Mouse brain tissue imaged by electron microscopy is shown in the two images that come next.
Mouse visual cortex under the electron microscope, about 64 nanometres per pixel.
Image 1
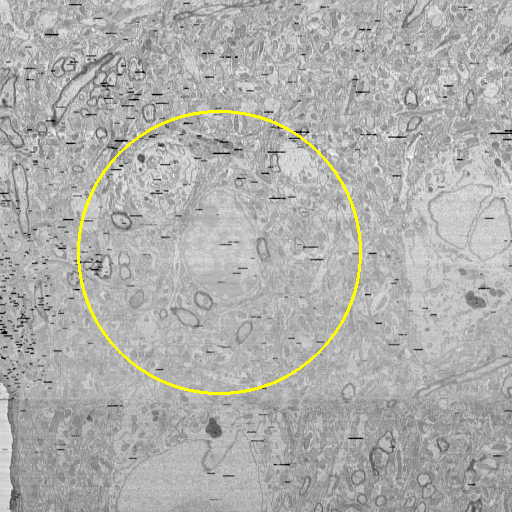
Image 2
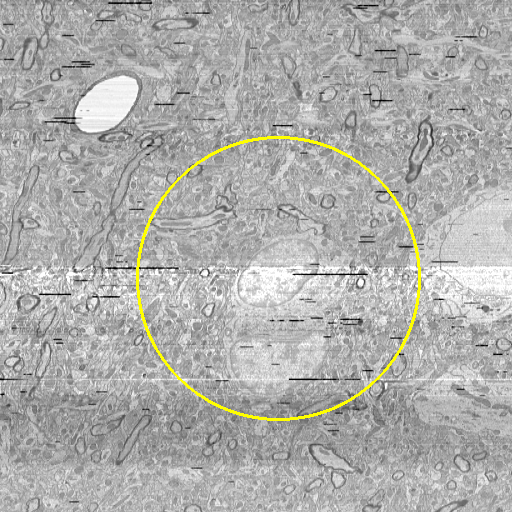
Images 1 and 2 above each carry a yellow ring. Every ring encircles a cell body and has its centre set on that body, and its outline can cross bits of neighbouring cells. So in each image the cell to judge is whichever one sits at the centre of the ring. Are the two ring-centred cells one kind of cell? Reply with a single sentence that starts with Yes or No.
Yes, in Image 1 and Image 2 the cells at the centres of their rings fall into one type.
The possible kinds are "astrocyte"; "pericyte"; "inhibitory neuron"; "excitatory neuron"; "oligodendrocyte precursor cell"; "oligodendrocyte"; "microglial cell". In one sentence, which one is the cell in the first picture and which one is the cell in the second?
Each cell, in the first picture and the second, is an oligodendrocyte.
